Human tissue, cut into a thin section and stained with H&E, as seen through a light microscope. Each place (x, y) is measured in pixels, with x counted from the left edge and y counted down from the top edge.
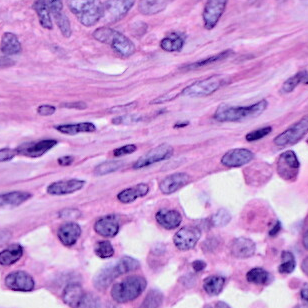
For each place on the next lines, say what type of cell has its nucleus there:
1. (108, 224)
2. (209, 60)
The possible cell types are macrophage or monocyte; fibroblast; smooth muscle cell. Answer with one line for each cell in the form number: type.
1: macrophage or monocyte
2: fibroblast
